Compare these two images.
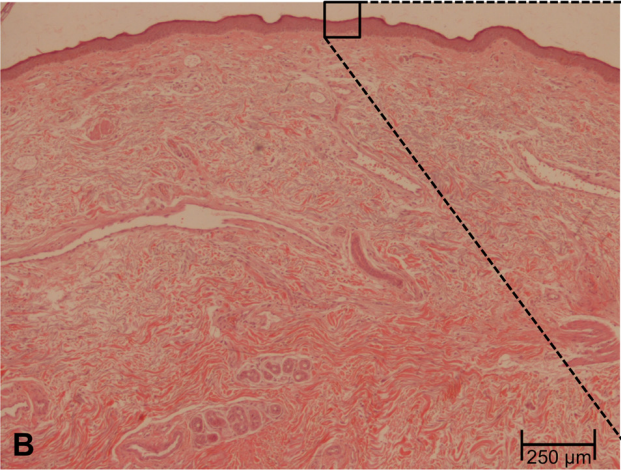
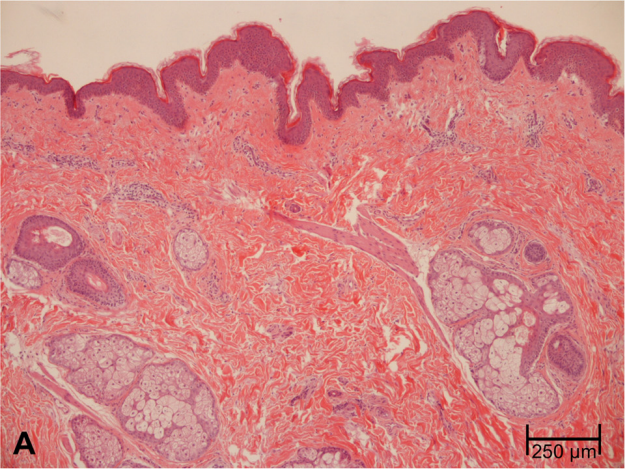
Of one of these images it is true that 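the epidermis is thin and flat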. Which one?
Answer: The first image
